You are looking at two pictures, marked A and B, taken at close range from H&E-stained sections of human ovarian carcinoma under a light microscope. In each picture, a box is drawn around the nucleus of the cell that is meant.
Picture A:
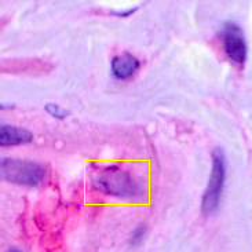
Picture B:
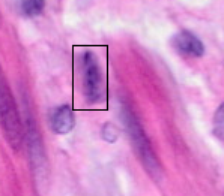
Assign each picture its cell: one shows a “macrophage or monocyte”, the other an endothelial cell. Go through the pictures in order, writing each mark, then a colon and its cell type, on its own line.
A: endothelial cell
B: macrophage or monocyte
